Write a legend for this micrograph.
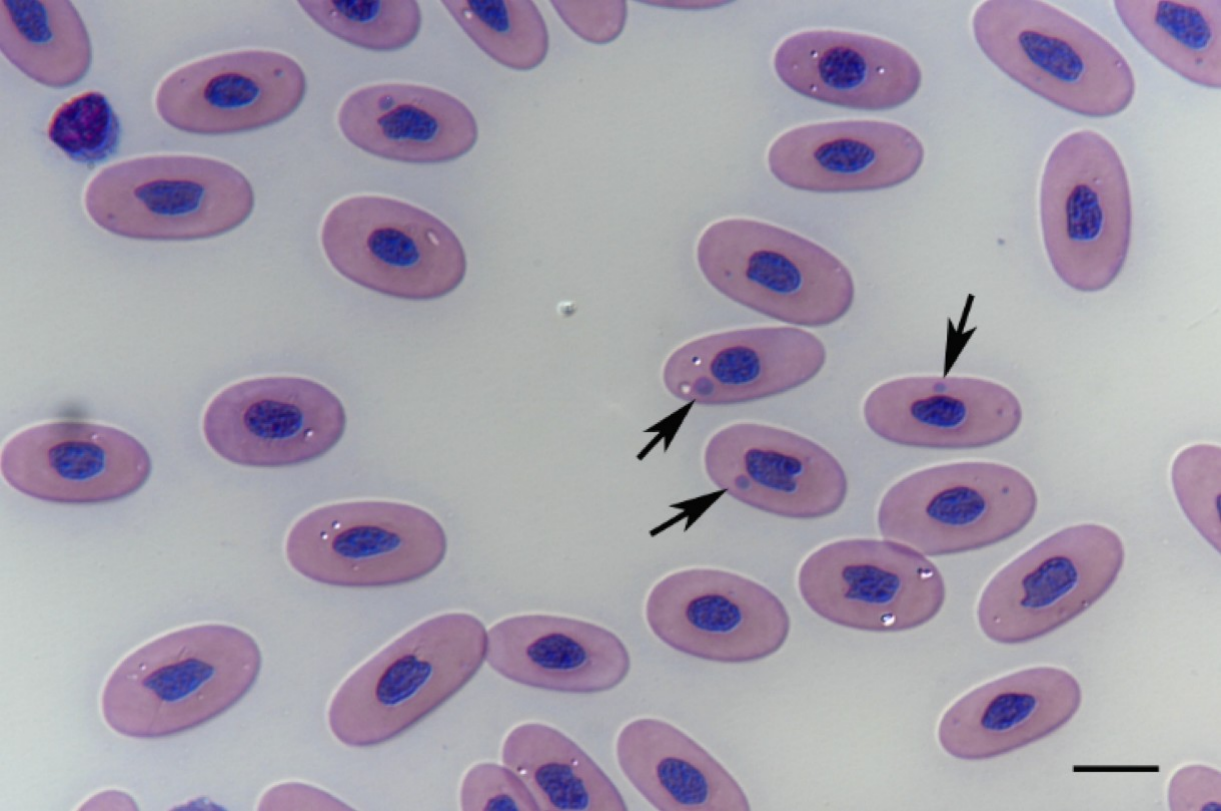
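This is a blood smear in which nearly every cell is an erythrocyte, and these red cells are oval and nucleated. Each has evenly pink-lilac cytoplasm and a single oval, dark blue nucleus with coarse, clumped chromatin sitting in the middle of the cell. In several of these erythrocytes a small, round, pale blue-grey body lies free in the cytoplasm beside the nucleus, clearly separate from it.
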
